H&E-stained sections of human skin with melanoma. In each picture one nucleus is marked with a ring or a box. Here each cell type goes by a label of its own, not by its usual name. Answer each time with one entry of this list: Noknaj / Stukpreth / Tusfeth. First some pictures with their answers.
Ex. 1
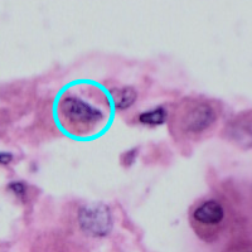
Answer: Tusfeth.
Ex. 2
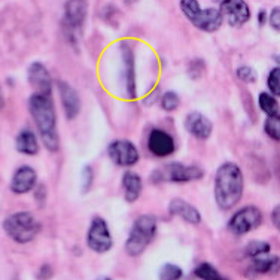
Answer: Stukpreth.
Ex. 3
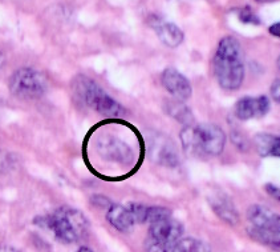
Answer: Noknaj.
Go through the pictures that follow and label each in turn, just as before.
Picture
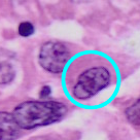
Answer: Noknaj.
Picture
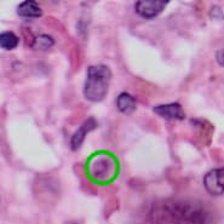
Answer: Tusfeth.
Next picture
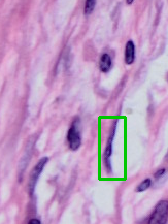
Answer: Stukpreth.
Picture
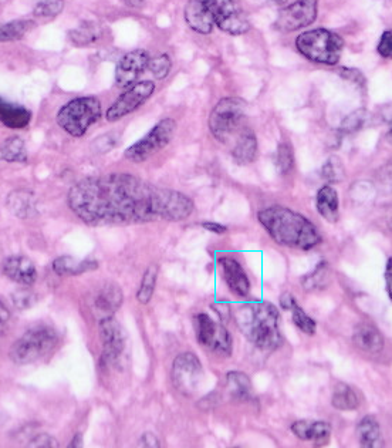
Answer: Noknaj.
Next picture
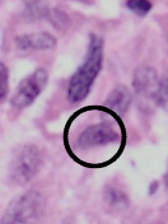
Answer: Noknaj.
